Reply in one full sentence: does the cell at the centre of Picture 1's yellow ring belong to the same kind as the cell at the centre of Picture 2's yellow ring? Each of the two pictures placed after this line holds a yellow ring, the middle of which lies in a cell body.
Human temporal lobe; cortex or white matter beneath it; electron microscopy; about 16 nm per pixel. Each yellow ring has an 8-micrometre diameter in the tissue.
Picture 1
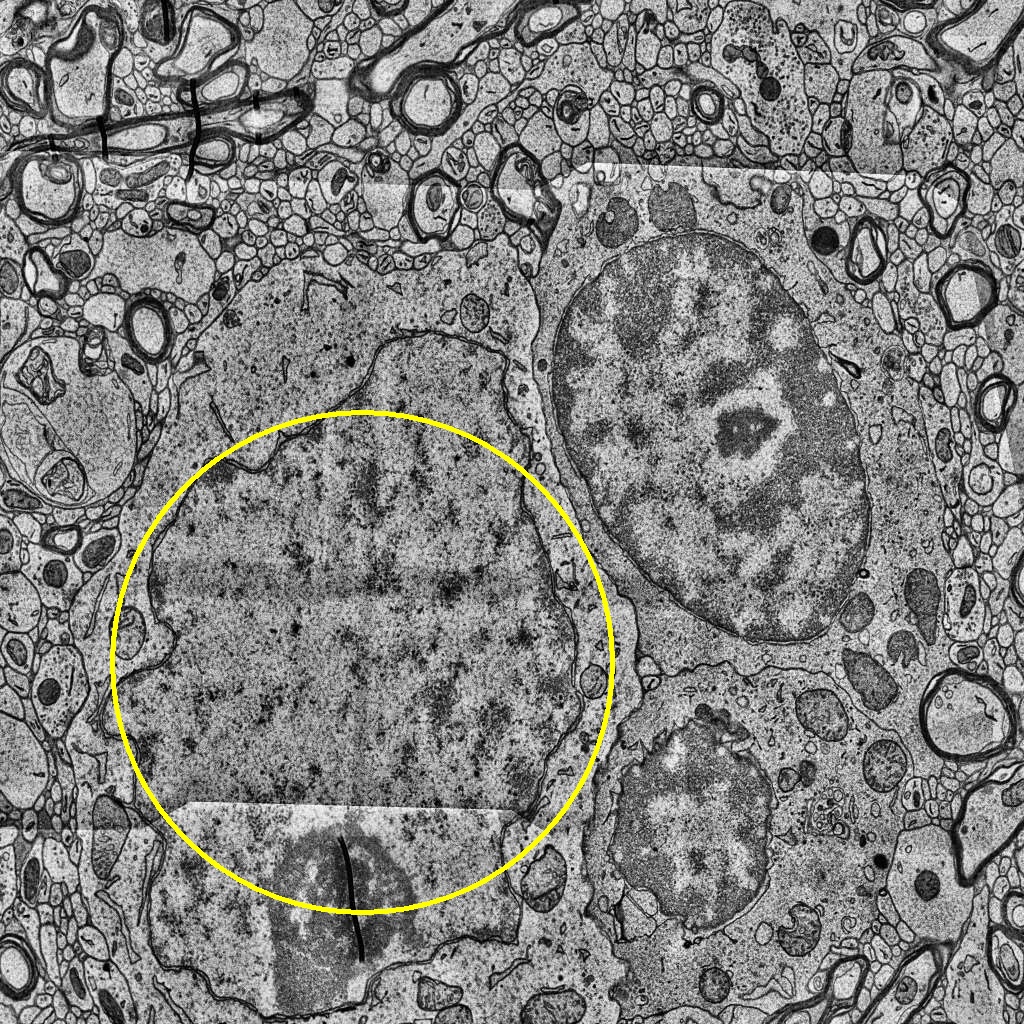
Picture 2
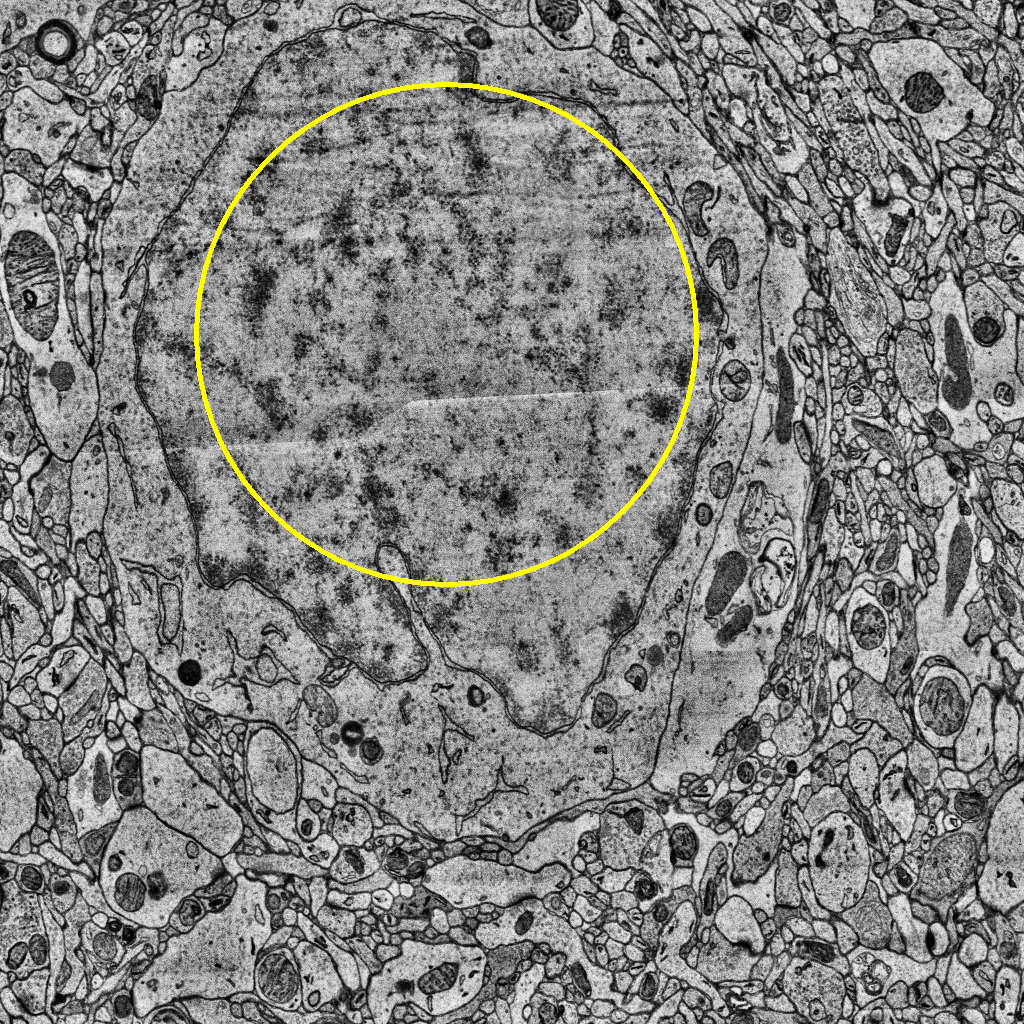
Yes, the cells at the ring centres in Picture 1 and Picture 2 are of one and the same kind.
